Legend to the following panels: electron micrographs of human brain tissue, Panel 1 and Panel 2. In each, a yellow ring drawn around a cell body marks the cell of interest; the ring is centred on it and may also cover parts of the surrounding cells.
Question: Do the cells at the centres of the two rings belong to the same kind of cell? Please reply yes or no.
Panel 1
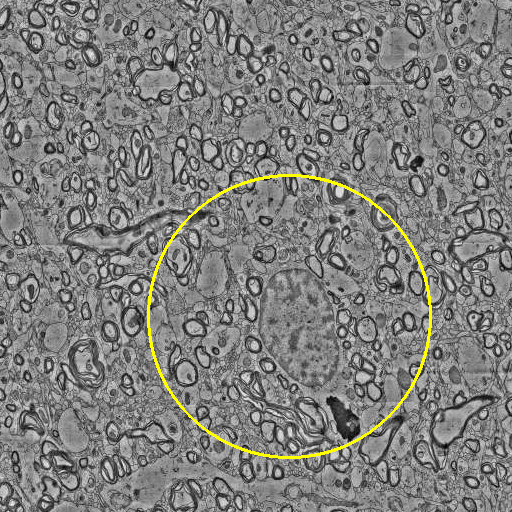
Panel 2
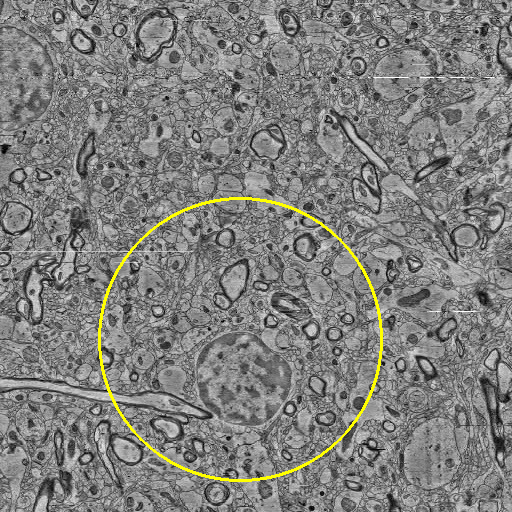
no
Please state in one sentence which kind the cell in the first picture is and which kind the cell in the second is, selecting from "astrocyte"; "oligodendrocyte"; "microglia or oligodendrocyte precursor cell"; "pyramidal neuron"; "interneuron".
The first ringed cell is an oligodendrocyte, the second ringed cell a microglial cell or oligodendrocyte precursor cell.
